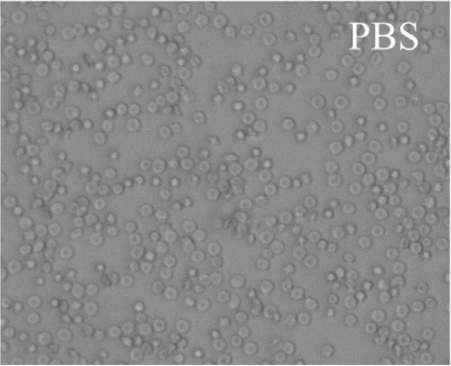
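A dense field of small, uniform, round cells lies in a single layer across the whole image. The cells sit singly or touching at their edges, spread fairly evenly without clumps or stacks, with narrow clear spaces between them. Sizes barely vary. Anucleate biconcave discs of this size and uniformity are red blood cells, here well dispersed and intact.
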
